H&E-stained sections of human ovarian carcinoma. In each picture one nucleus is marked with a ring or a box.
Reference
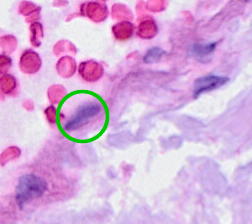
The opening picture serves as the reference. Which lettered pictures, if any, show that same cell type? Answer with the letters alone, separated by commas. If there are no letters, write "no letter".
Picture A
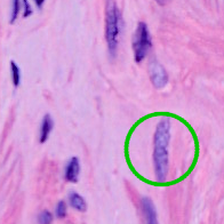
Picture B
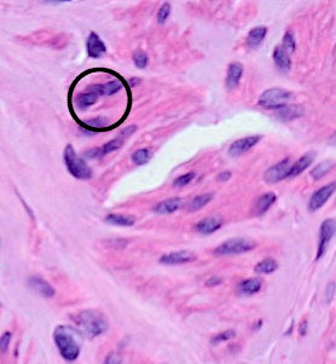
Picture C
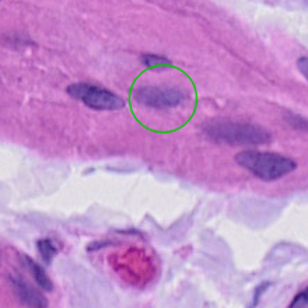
no letter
